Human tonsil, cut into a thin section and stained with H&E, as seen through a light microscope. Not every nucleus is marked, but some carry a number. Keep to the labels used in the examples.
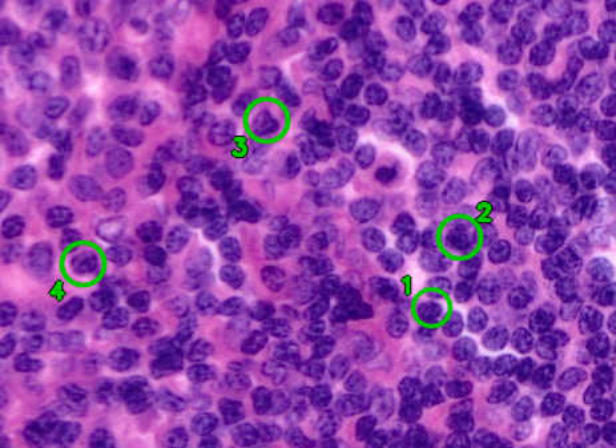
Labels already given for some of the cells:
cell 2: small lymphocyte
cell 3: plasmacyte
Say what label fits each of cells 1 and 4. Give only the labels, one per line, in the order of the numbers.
small lymphocyte
plasmacyte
